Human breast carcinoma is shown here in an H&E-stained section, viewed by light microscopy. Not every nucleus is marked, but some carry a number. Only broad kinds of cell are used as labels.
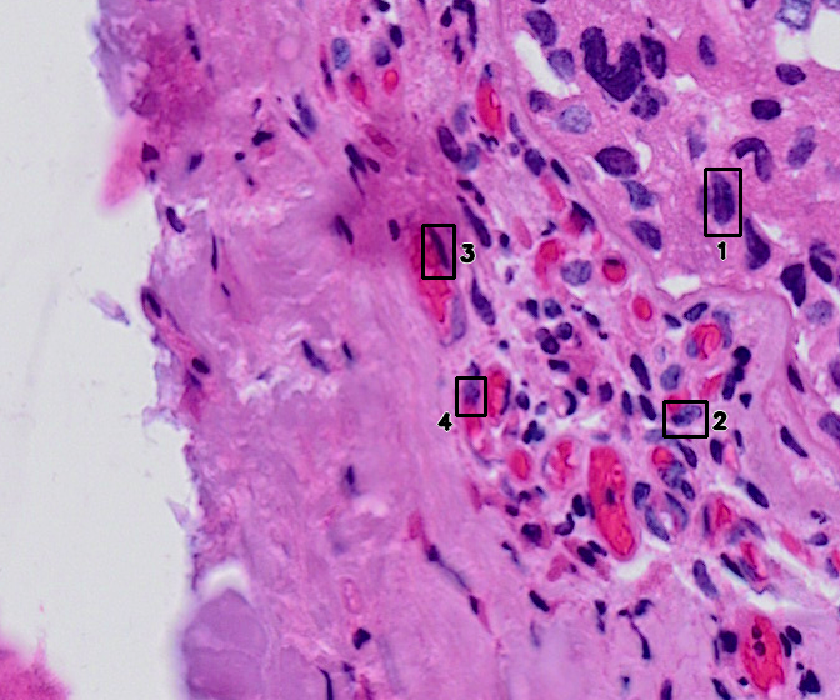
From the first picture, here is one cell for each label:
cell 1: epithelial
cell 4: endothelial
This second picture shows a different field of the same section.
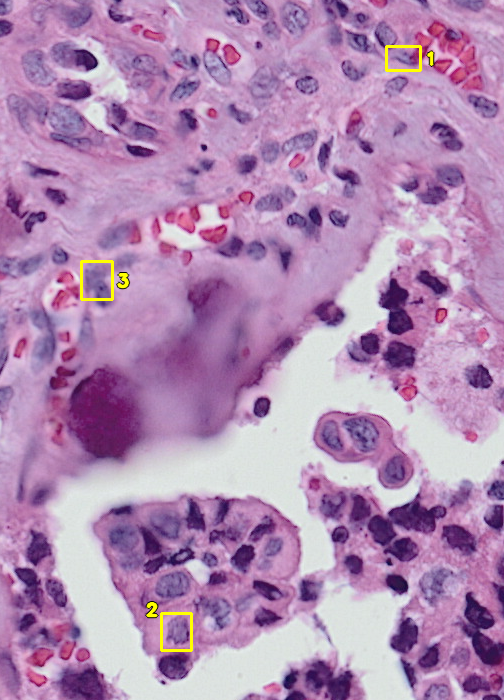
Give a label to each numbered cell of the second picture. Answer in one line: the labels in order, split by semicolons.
endothelial; epithelial; endothelial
